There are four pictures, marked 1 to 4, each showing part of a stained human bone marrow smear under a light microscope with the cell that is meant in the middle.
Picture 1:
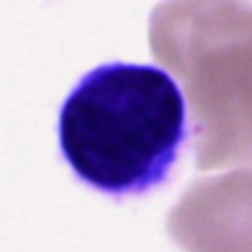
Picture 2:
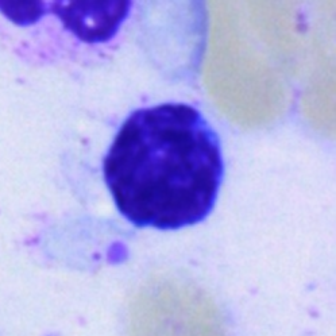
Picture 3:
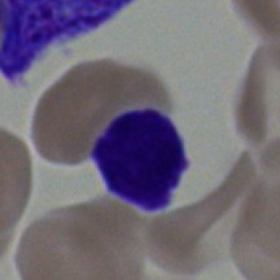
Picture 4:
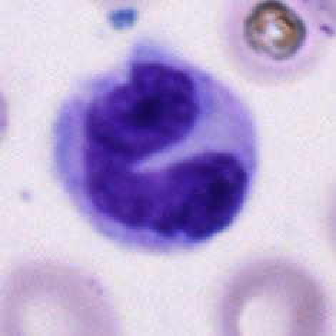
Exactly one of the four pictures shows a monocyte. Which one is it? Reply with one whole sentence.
The picture with the monocyte is 4.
